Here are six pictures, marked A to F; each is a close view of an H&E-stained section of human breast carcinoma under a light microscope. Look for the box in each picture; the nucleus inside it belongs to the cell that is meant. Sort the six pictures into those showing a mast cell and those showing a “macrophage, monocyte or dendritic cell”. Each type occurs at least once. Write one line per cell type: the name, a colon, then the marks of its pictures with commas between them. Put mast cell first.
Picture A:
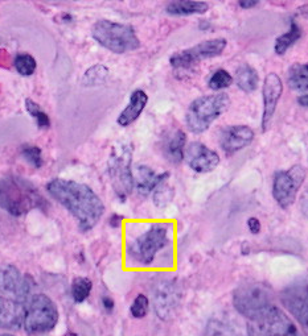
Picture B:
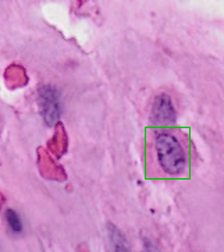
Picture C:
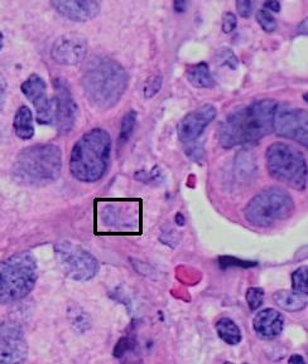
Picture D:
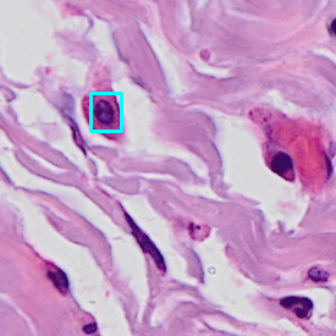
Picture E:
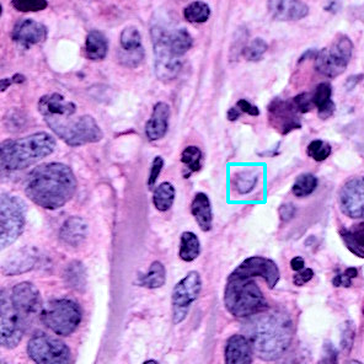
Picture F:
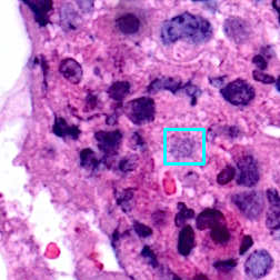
mast cell: B, D
macrophage, monocyte or dendritic cell: A, C, E, F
